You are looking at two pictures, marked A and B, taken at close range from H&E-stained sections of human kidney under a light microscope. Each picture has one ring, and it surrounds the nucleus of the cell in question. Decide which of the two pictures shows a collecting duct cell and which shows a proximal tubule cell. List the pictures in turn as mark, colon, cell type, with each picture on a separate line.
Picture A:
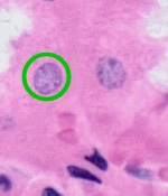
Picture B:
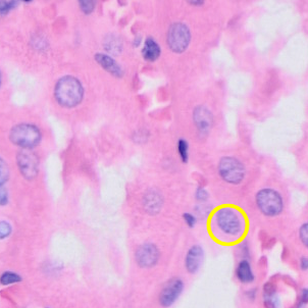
A: proximal tubule cell
B: collecting duct cell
